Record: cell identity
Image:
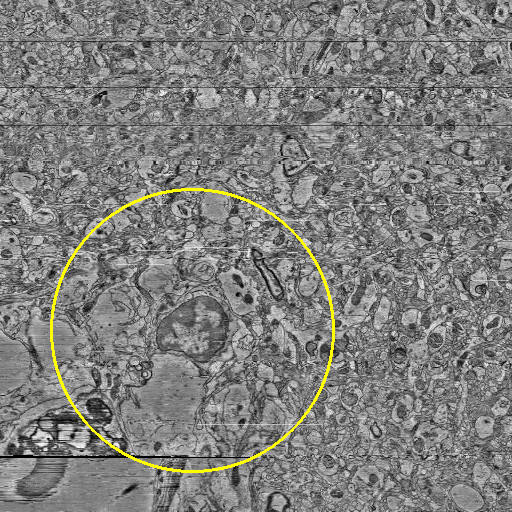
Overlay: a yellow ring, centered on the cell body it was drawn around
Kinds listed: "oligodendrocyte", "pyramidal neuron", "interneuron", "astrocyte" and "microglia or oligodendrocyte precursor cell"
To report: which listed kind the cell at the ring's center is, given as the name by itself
microglia or oligodendrocyte precursor cell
